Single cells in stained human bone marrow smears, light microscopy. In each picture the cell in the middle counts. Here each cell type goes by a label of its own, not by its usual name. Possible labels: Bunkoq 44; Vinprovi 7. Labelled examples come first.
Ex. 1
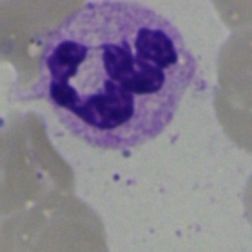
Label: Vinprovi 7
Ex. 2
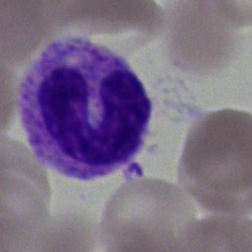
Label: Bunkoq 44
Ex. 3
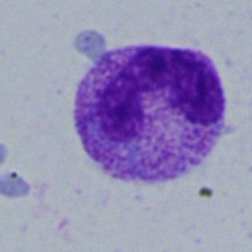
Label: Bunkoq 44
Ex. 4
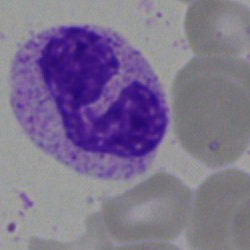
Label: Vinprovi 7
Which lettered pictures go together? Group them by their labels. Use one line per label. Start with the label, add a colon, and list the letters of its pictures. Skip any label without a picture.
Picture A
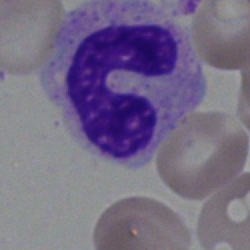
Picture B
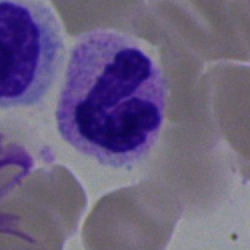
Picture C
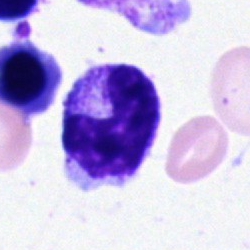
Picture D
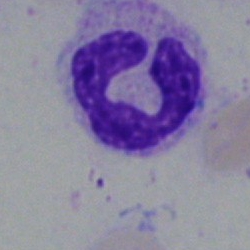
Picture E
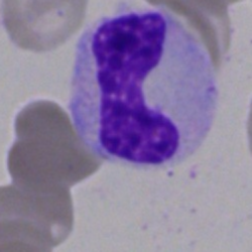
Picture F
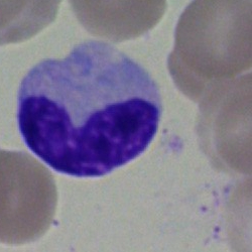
Bunkoq 44: A, C, D, E, F
Vinprovi 7: B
